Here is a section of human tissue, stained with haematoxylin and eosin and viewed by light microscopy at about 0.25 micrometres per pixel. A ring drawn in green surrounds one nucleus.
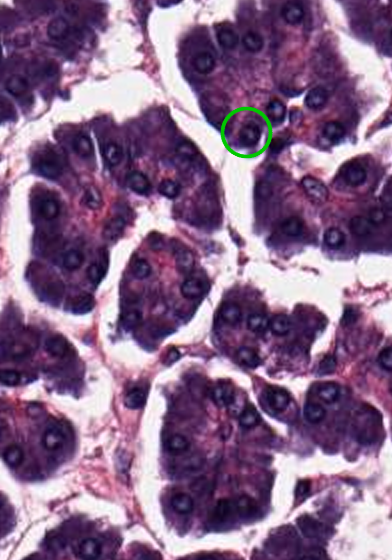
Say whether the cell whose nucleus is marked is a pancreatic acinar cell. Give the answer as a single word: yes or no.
yes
